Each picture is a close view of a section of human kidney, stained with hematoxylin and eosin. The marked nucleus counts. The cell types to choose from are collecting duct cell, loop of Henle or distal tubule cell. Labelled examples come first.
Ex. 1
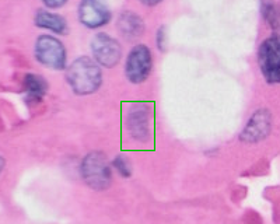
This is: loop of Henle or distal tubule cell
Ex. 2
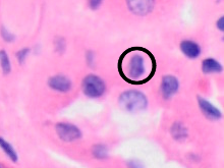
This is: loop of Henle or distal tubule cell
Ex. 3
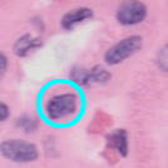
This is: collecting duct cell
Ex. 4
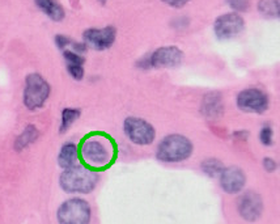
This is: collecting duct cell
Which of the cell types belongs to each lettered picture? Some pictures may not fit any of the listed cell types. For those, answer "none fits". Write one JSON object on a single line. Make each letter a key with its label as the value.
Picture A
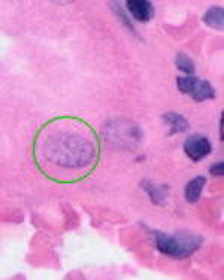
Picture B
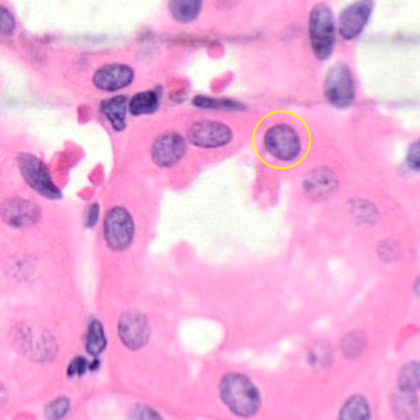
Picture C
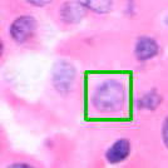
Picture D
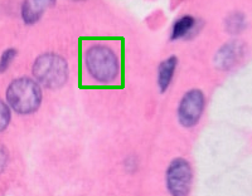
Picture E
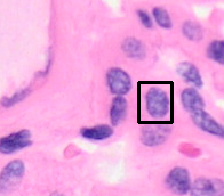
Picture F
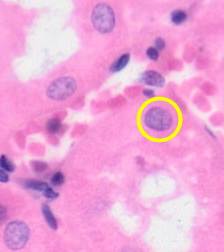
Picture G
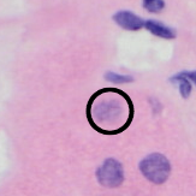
{"A": "none fits", "B": "none fits", "C": "loop of Henle or distal tubule cell", "D": "none fits", "E": "collecting duct cell", "F": "none fits", "G": "none fits"}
